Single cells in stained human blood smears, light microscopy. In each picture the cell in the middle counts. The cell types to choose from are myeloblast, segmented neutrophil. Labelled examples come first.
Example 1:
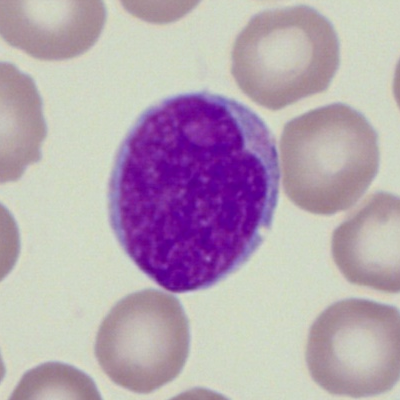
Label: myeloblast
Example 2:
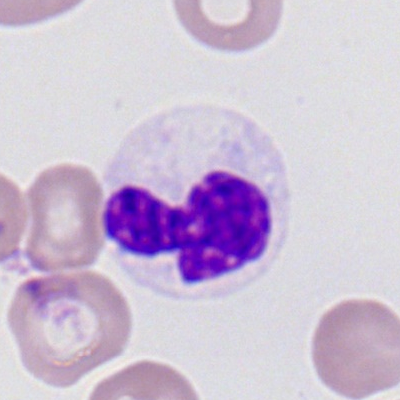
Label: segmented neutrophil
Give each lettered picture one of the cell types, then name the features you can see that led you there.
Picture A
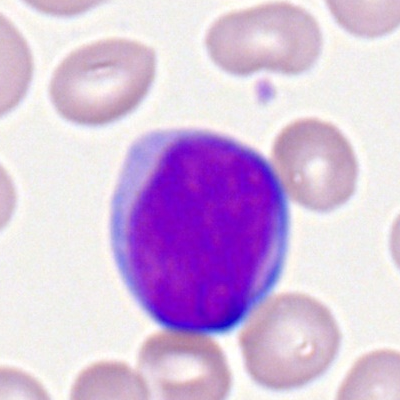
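myeloblast. Evidence: The cytoplasm forms only a thin rim around the nucleus.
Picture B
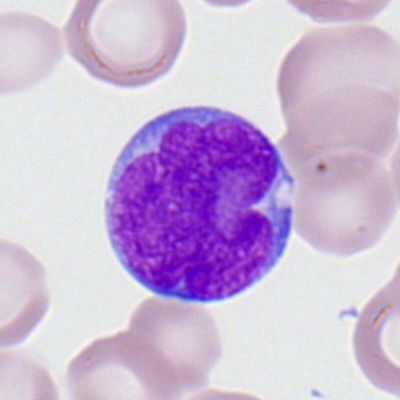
myeloblast. Evidence: The nucleus fills most of the cell.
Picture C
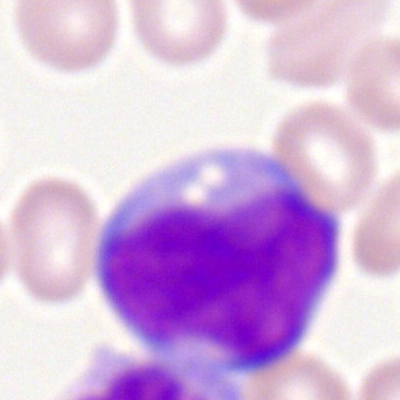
myeloblast. Evidence: The nucleus fills most of the cell.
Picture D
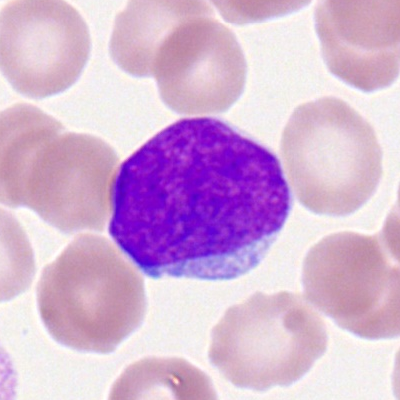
myeloblast. Evidence: The cytoplasm forms only a thin crescent along the lower edge of the cell.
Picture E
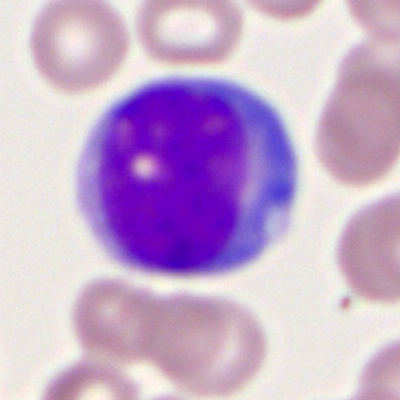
myeloblast. Evidence: The nucleus fills most of the cell.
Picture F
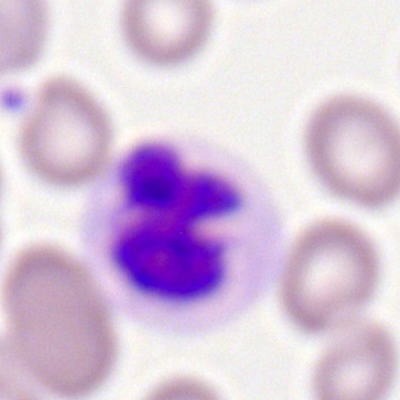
segmented neutrophil. Evidence: The cytoplasm is plentiful and pale lilac-pink.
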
